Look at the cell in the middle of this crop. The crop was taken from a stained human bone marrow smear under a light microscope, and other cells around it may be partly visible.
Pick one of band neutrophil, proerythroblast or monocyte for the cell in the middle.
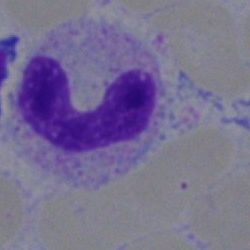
band neutrophil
